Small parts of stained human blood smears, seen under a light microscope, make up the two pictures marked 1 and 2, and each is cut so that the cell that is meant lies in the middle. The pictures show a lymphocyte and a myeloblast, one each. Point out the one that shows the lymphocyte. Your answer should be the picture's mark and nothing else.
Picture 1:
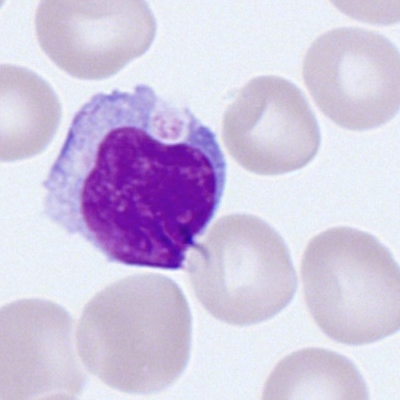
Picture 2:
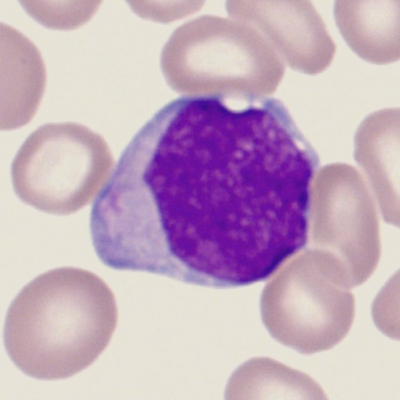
1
